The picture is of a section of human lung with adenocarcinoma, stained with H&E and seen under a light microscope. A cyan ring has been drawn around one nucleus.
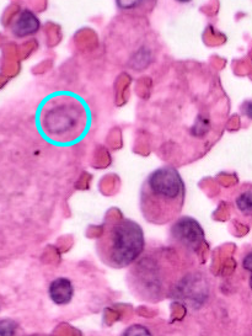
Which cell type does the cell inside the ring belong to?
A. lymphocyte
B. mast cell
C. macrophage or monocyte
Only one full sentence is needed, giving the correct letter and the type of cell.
Option C is the right choice, for the cell inside the ring is a macrophage or monocyte.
